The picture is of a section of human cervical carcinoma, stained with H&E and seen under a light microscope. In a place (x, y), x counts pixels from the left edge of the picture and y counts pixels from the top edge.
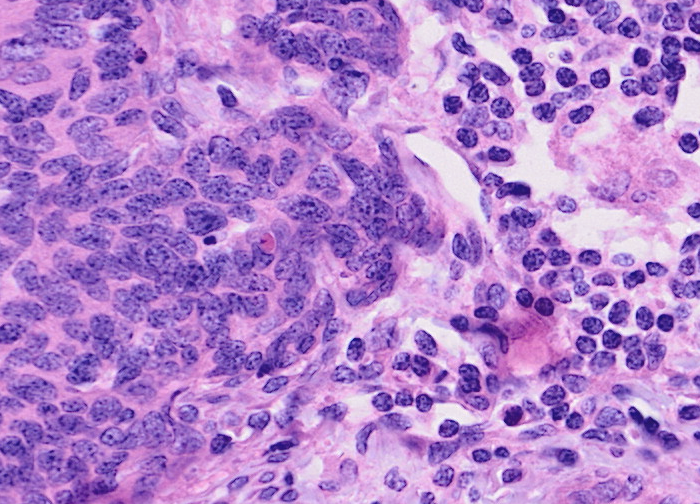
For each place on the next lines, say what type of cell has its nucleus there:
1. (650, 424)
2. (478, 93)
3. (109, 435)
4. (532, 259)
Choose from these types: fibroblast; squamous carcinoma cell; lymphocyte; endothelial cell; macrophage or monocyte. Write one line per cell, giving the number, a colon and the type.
1: lymphocyte
2: lymphocyte
3: squamous carcinoma cell
4: lymphocyte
